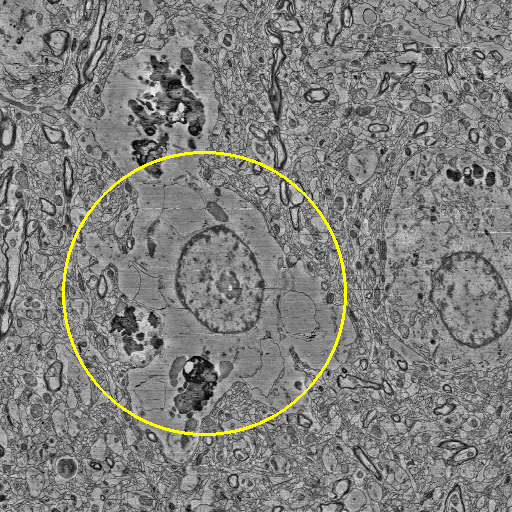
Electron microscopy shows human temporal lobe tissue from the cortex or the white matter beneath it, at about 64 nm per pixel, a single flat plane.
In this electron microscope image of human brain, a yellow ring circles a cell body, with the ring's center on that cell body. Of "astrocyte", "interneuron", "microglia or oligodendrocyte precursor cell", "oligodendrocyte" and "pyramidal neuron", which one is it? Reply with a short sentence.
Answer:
It is an astrocyte at the center of the ring.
